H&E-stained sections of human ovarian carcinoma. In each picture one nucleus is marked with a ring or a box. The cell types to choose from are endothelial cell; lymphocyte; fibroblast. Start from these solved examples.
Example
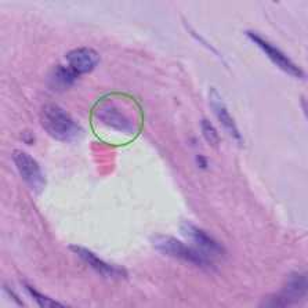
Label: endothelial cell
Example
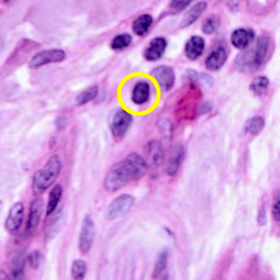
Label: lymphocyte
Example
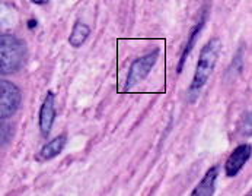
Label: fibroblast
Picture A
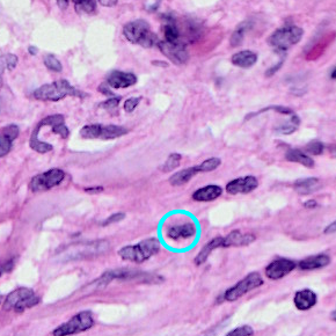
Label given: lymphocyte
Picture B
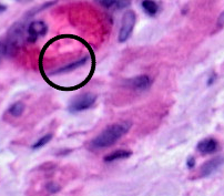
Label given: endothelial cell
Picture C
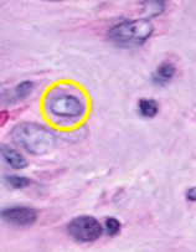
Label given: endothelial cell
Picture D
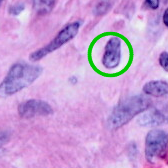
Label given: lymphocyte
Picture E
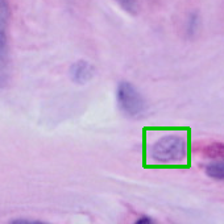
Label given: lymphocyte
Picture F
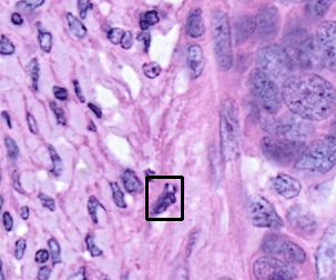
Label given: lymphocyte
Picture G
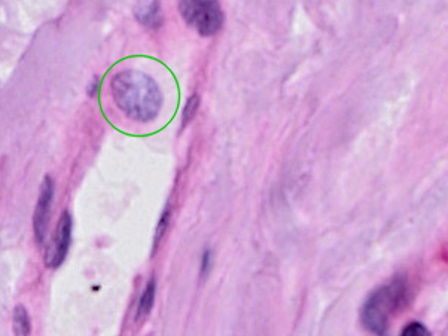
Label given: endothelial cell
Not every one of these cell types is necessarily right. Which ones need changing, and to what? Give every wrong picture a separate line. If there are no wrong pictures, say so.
E: endothelial cell, not lymphocyte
